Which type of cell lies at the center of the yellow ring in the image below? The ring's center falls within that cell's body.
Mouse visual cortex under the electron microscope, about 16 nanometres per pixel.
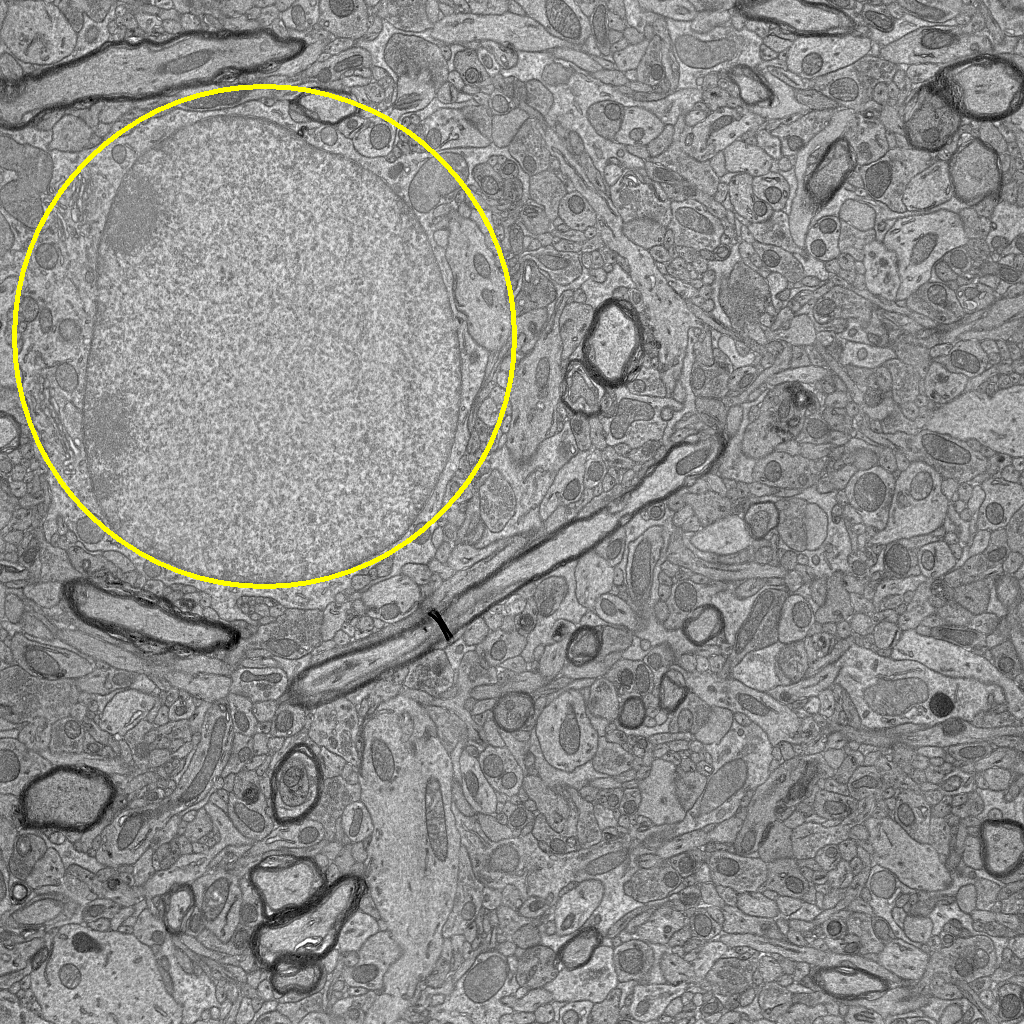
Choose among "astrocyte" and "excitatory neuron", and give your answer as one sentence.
The cell body at the center belongs to an astrocyte.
